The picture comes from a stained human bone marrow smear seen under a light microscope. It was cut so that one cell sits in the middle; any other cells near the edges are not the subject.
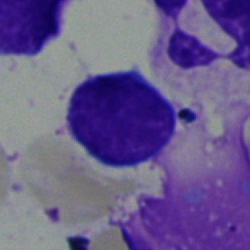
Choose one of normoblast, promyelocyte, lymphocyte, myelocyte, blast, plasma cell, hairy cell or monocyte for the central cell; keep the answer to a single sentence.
Within this crop, a lymphocyte occupies the central position.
